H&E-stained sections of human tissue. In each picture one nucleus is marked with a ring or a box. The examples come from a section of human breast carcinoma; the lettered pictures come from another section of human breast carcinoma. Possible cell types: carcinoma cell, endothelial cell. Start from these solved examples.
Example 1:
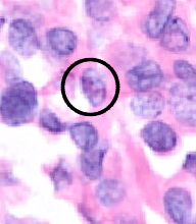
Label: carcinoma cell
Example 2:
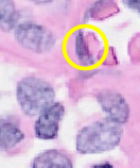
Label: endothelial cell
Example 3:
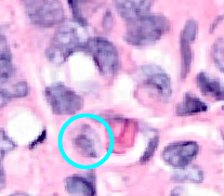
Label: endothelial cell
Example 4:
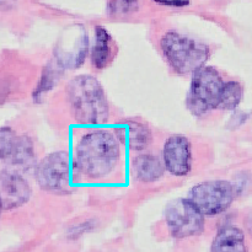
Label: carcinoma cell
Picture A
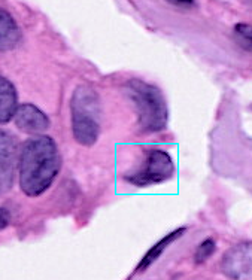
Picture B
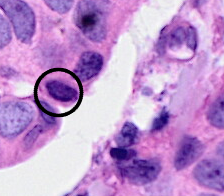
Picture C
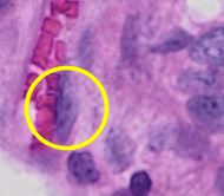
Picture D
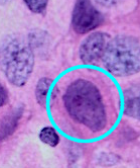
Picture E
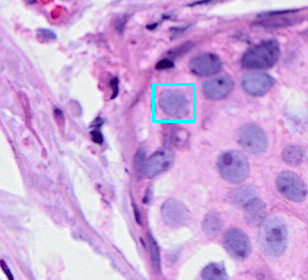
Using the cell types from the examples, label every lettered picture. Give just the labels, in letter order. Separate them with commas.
carcinoma cell, carcinoma cell, endothelial cell, carcinoma cell, carcinoma cell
